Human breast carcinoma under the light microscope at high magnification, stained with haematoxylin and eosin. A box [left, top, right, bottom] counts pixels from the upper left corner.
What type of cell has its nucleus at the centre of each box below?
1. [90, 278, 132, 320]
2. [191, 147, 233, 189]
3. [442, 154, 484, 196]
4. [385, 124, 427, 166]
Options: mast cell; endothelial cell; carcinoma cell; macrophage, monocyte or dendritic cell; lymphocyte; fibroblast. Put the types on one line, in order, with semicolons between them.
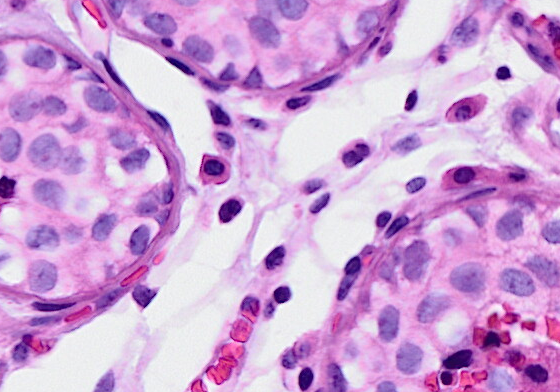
endothelial cell; mast cell; mast cell; fibroblast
